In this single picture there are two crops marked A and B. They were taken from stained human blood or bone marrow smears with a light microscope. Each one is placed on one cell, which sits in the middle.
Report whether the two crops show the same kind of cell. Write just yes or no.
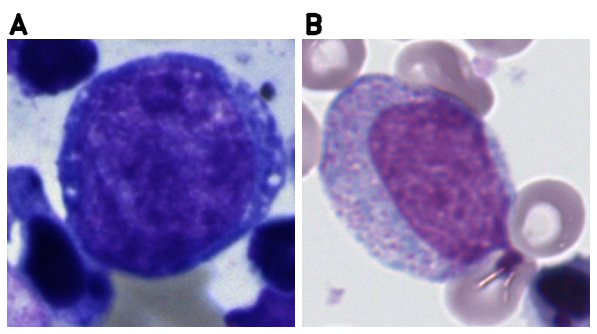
no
